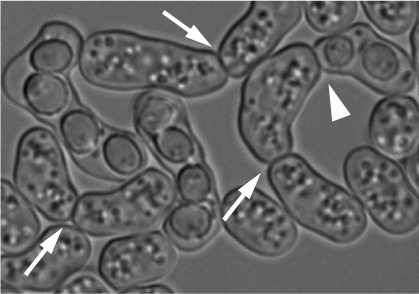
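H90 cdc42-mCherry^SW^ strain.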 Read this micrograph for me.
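Mated yeast cells in transmitted light, mostly paired cells touching at their tips. The cells are rod-shaped or curved with coarse granular cytoplasm. At several contacts a dividing line between the partners remains, and these pairs contain no round spores. In one pair round bodies sit in only one of the two partners.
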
